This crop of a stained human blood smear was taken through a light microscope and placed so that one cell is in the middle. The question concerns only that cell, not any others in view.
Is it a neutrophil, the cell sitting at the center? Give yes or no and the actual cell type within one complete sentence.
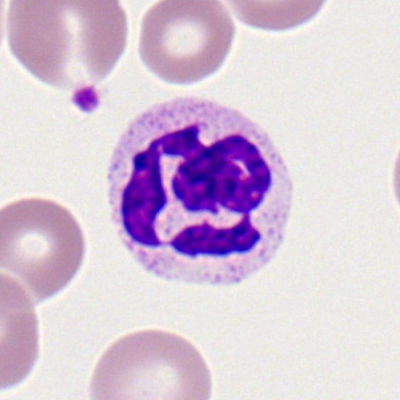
Yes, the cell centred in the field of view is a neutrophil.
